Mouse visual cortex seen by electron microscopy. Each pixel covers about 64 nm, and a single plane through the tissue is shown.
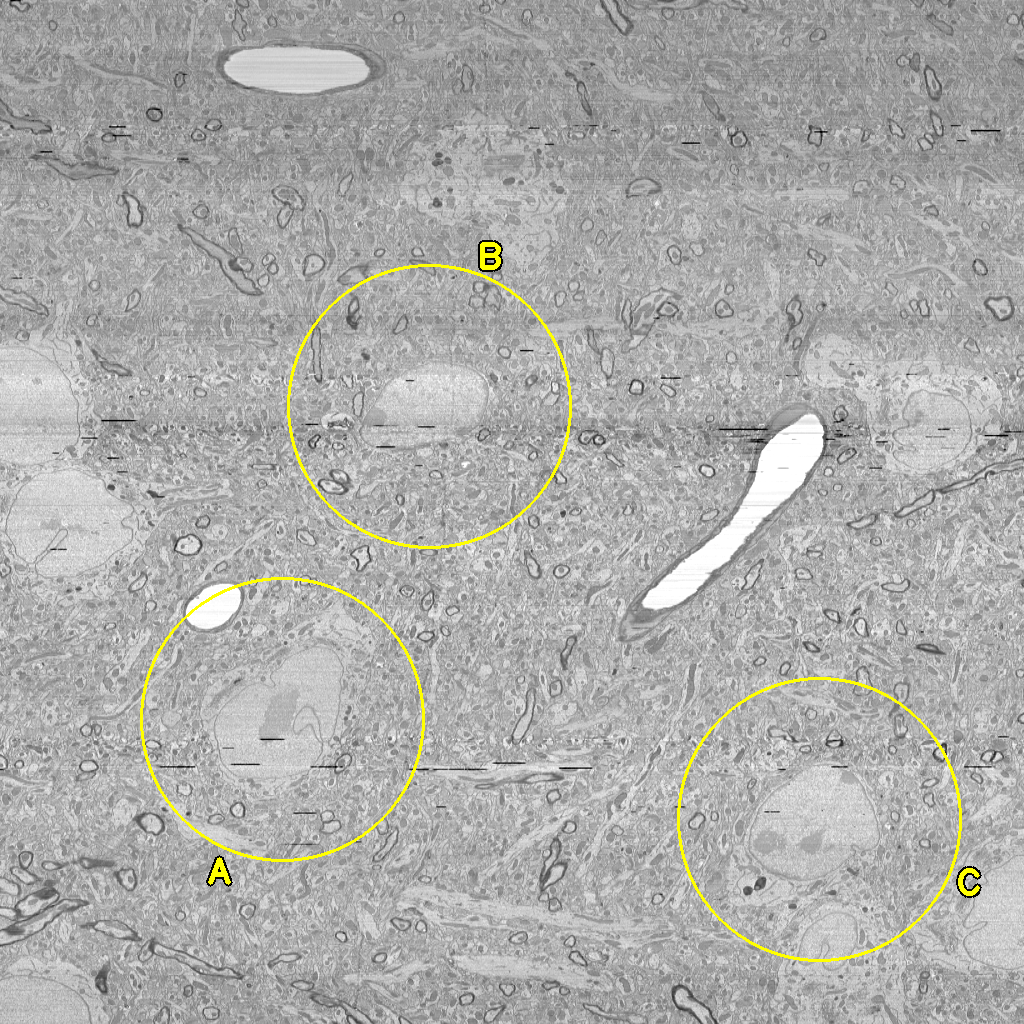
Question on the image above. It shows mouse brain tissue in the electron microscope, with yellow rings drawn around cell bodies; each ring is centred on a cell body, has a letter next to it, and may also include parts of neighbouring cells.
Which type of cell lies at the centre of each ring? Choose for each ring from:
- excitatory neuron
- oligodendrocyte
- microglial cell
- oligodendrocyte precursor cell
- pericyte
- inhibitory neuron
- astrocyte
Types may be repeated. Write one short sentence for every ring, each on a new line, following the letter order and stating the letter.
Ring A has been drawn around an excitatory neuron.
Ring B has been drawn around an astrocyte.
Ring C has been drawn around an oligodendrocyte precursor cell.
